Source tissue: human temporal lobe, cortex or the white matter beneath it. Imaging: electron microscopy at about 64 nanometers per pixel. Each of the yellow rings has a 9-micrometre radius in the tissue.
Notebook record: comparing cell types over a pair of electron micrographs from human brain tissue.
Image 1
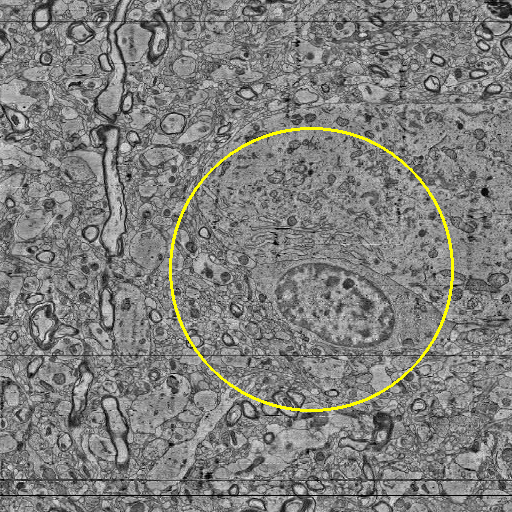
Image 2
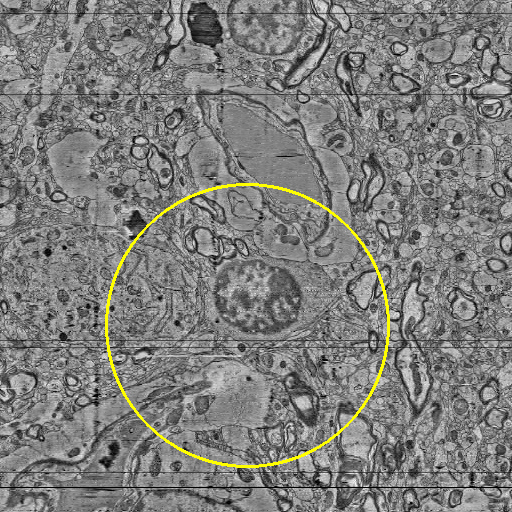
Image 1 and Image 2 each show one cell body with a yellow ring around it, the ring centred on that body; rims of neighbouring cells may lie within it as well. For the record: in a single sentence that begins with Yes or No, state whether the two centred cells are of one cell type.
Yes, one cell type is shared by the centred cells of Image 1 and Image 2.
